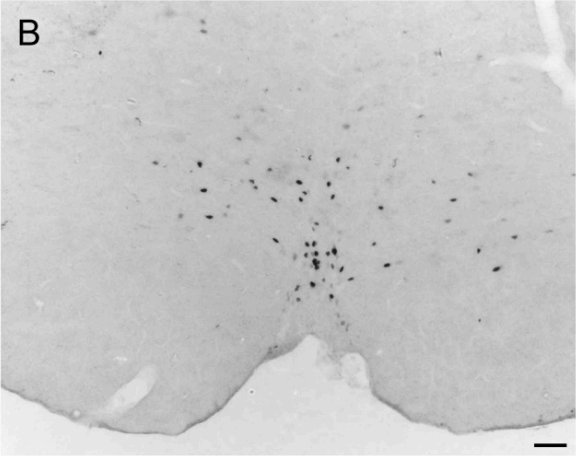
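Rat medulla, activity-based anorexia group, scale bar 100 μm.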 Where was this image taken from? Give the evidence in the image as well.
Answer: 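Raphe pallidus nucleus. The dense cluster of dark nuclei sits on the midline. The cluster lies just above the ventral surface of the brainstem, between the two pyramidal bulges.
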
